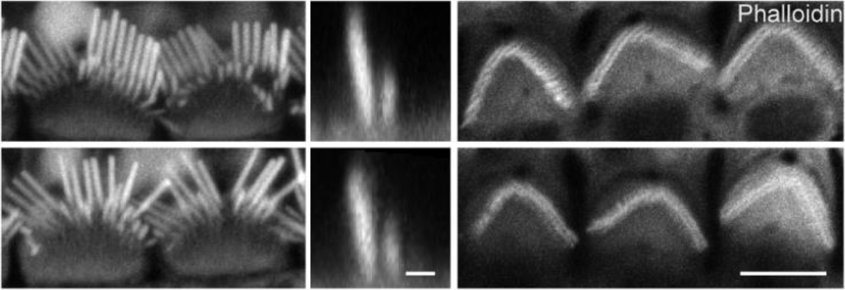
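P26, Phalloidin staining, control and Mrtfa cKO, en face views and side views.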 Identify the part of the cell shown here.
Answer: Hair bundles.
